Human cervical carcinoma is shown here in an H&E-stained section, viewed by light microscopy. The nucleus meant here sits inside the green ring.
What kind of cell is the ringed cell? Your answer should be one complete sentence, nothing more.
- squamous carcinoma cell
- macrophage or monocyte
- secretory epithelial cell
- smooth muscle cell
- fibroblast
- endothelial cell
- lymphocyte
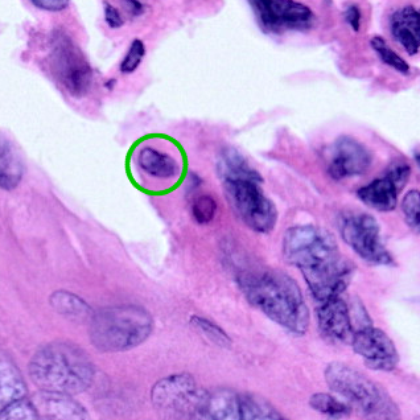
Right, so the ringed cell is a squamous carcinoma cell, to answer that.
